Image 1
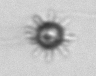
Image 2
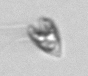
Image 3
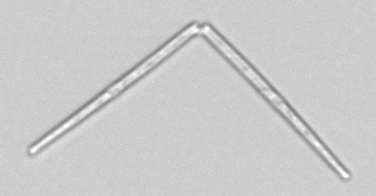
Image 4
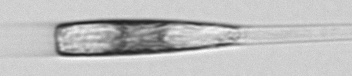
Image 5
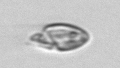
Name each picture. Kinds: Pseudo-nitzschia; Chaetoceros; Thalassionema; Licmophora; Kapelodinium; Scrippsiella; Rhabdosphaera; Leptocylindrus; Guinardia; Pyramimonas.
1: Rhabdosphaera
2: Pyramimonas
3: Thalassionema
4: Licmophora
5: Kapelodinium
